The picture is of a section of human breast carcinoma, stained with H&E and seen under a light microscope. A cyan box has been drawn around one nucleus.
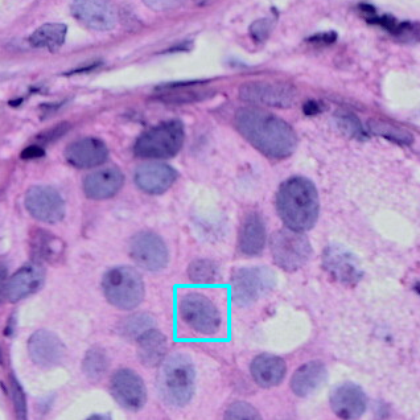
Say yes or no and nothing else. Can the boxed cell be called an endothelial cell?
no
